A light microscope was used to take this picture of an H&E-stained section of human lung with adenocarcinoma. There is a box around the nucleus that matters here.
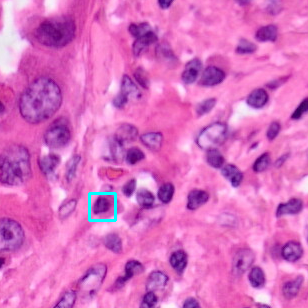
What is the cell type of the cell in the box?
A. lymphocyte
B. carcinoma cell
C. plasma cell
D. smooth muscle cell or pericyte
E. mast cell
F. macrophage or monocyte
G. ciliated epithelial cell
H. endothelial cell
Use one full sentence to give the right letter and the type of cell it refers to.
Option C, identifying the cell in the box as a plasma cell, is correct.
